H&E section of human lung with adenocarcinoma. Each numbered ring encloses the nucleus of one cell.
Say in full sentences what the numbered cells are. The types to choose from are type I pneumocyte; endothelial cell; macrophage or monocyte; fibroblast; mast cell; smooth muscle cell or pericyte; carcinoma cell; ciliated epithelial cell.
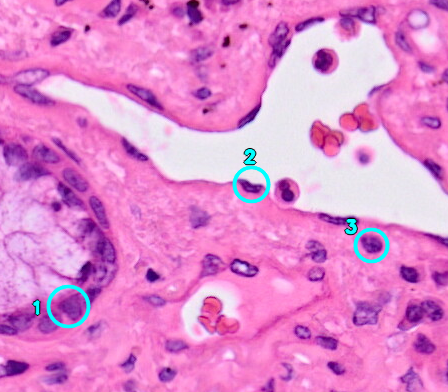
Cell 1 is a ciliated epithelial cell. Cell 2 is an endothelial cell. Cell 3 is a mast cell.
